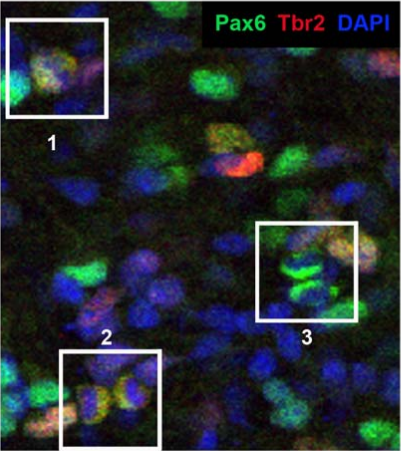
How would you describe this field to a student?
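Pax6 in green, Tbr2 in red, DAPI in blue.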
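Nuclei are round to oval, closely apposed, many showing only blue counterstain. A scattered subset carries green nuclear label; some of these also carry red, appearing yellow to orange where the two overlap, and a few nuclei are red alone. No layered arrangement is seen; cells are irregularly scattered.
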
